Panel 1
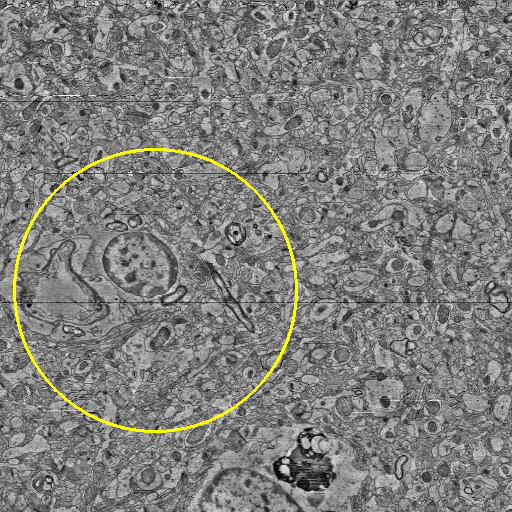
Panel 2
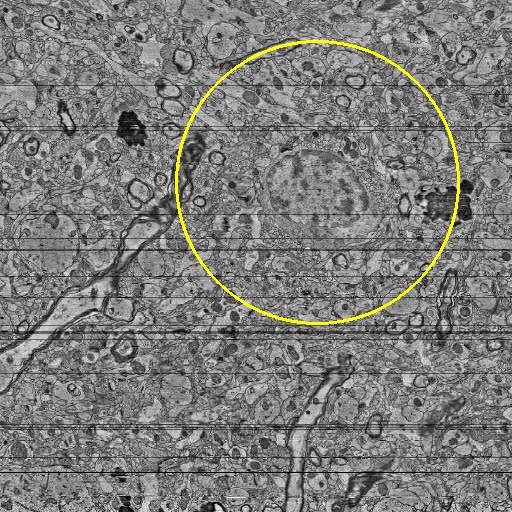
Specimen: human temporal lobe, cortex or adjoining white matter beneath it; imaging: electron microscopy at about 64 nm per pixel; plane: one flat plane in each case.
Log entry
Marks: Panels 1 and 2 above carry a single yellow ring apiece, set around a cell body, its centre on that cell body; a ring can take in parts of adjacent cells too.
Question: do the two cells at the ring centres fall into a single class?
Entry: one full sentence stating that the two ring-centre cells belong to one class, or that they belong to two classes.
The two ring-centre cells in Panels 1 and 2 belong to two classes.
